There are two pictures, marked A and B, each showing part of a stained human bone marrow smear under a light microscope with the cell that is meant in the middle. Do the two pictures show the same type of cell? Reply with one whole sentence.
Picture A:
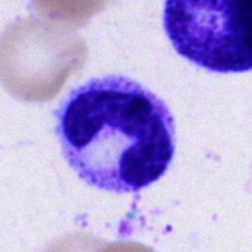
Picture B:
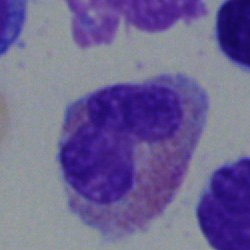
No, they differ: the cell is a band neutrophil in picture A and an eosinophil in picture B.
